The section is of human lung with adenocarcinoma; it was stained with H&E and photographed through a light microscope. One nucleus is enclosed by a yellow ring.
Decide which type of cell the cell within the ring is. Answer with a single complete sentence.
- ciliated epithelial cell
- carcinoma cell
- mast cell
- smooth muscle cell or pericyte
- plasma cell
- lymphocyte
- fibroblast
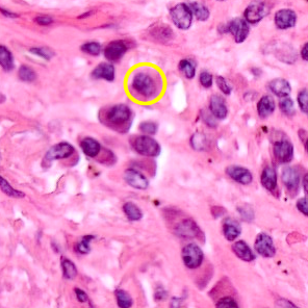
This is a plasma cell.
